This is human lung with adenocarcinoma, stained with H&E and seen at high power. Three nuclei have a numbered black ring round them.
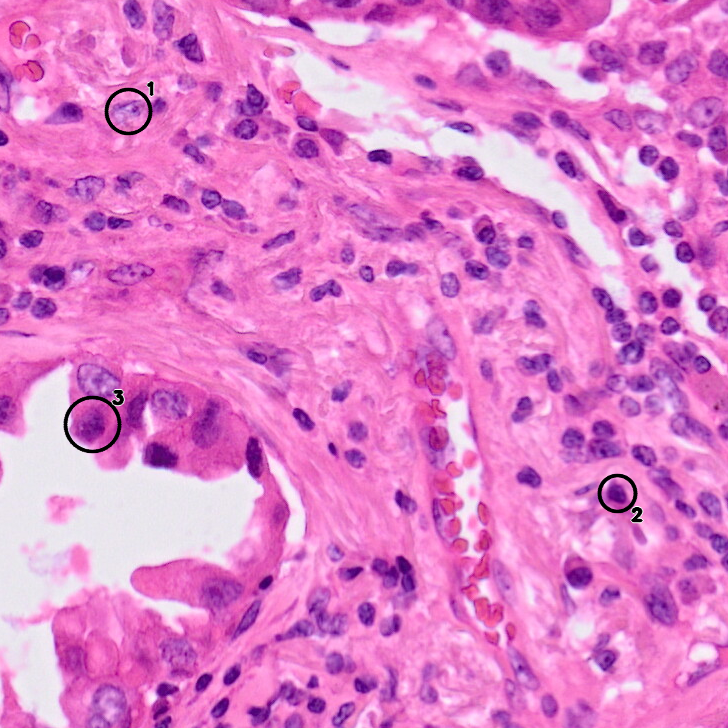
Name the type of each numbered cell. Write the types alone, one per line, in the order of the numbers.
fibroblast
plasma cell
carcinoma cell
